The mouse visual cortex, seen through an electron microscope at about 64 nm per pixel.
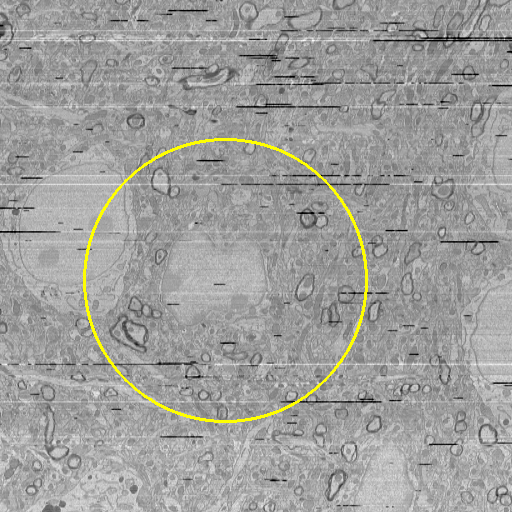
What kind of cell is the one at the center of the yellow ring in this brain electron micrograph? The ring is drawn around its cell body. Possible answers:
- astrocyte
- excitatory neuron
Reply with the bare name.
astrocyte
